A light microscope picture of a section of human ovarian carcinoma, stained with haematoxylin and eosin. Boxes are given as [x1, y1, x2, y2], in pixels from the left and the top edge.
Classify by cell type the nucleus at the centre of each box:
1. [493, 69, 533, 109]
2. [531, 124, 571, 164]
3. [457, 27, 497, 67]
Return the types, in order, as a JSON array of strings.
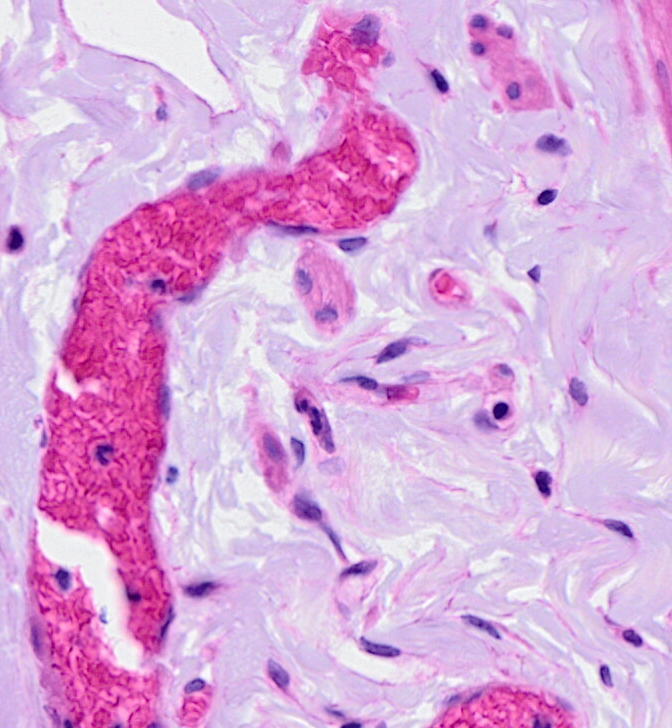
["smooth muscle cell", "fibroblast", "smooth muscle cell"]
